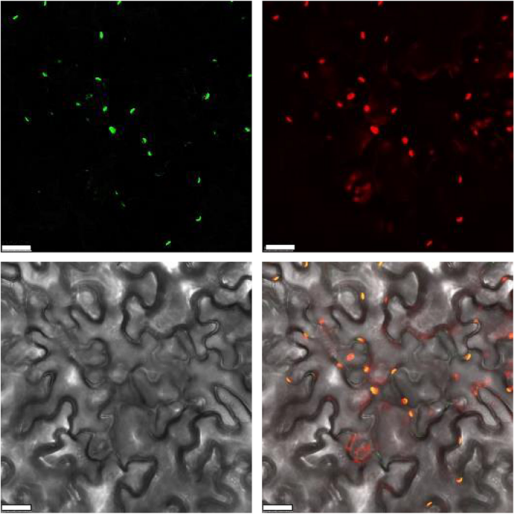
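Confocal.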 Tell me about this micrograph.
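Four views of the same field of leaf epidermal cells, whose brightfield image shows the flat layer of jigsaw-shaped cells with wavy, interlocking walls. In the green view only small, short elongated green specks are seen, scattered across the field rather than outlining the cells. In the red view small red dots lie scattered among the cells. In the overlay many of the green specks sit on or beside red dots and appear yellow-orange.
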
